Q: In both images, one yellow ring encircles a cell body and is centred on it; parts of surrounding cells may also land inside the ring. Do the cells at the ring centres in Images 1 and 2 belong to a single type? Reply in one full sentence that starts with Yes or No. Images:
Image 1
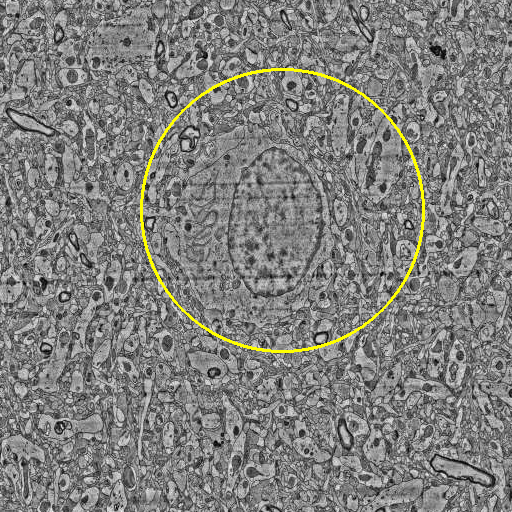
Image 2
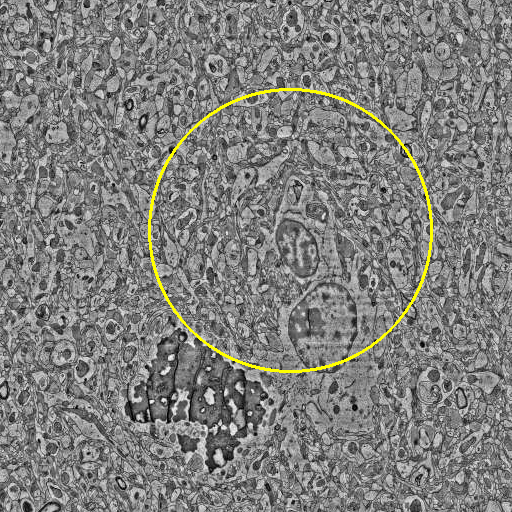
No, the cells at the ring centres in Images 1 and 2 are of two types.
